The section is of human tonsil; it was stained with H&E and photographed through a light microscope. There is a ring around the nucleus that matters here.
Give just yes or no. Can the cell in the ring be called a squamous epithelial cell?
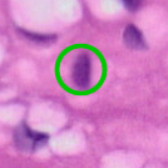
yes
